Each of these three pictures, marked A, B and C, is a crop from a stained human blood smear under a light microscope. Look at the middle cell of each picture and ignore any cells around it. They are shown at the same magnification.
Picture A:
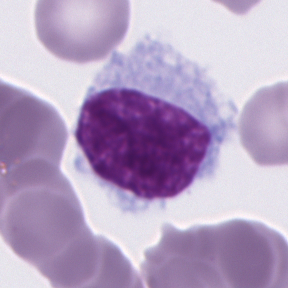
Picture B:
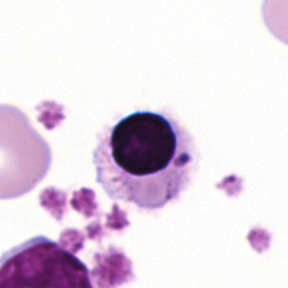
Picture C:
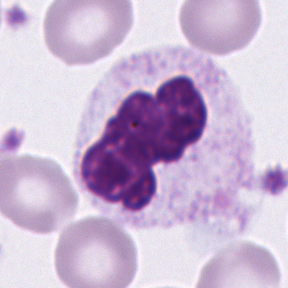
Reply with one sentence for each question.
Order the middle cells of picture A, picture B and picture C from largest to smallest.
From the largest down, the order is C, A, B.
